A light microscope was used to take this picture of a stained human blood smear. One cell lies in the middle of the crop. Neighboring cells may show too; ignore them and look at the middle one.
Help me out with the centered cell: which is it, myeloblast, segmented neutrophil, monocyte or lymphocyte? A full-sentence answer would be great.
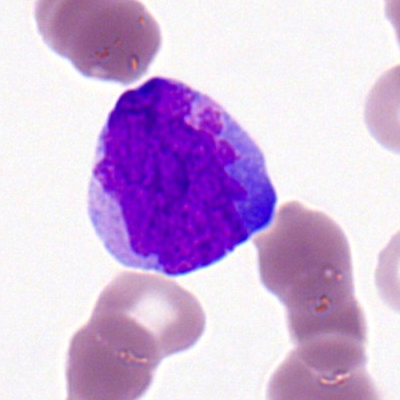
The cell found in the middle of this crop is a myeloblast.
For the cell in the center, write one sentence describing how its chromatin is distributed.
Answer: the chromatin in this nucleus is coarsely clumped.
